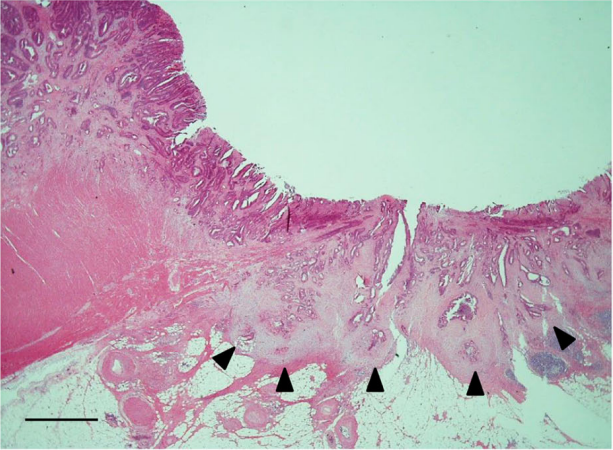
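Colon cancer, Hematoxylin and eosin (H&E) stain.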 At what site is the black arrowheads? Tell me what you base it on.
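Glandular tumor tissue extends down through the wall below the mucosa. The arrowheads sit at the deep edge of the wall next to loose fatty tissue. On this evidence: subserosa.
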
